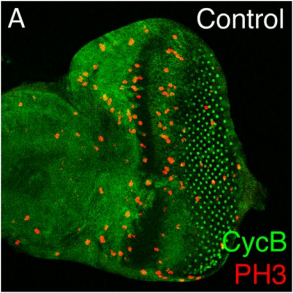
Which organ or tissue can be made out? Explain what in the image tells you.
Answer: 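A flat epithelial sac with a broad anterior part and a rounded posterior part. Regularly spaced bright clusters form a lattice in the posterior part.
Answer: eye disc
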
